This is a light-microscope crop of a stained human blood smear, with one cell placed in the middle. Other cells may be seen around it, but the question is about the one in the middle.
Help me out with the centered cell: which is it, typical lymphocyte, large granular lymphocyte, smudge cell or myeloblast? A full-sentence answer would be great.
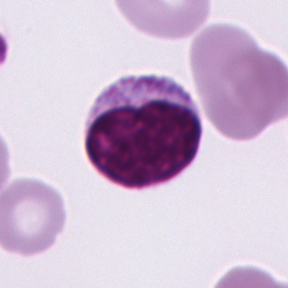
In this smear crop, the middle cell is a large granular lymphocyte.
